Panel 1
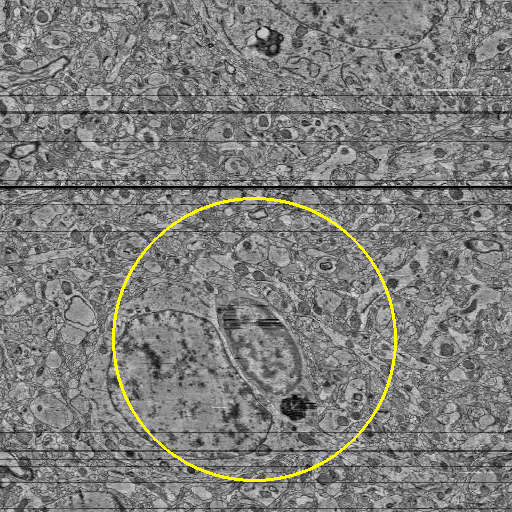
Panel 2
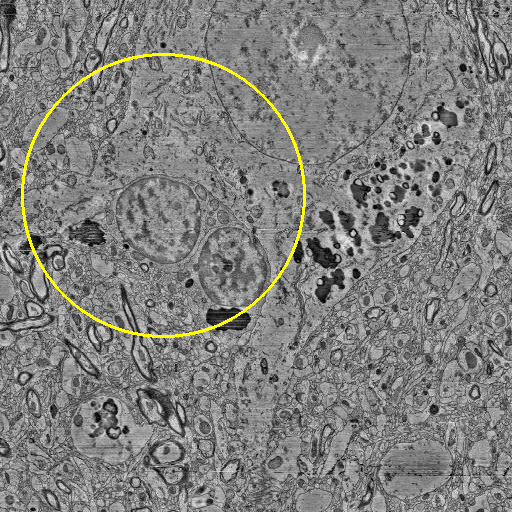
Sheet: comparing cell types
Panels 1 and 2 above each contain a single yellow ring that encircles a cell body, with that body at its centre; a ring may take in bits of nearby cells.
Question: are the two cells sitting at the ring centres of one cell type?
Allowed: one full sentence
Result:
Yes, the ring-centre cells in Panel 1 and Panel 2 are of one type.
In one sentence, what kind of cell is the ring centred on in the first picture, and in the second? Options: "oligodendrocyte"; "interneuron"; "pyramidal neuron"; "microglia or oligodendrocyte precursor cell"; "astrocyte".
Each one of the two ringed cells is an oligodendrocyte.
